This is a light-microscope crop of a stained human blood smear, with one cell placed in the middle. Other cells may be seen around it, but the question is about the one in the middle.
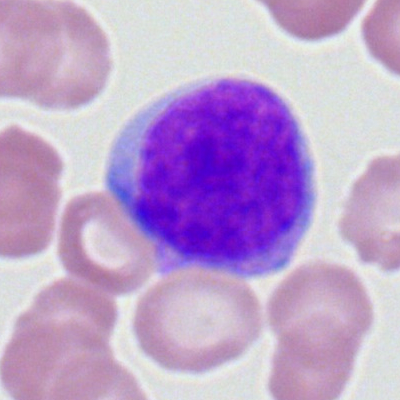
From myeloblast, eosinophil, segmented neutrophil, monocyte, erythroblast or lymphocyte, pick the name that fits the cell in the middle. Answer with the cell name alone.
myeloblast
